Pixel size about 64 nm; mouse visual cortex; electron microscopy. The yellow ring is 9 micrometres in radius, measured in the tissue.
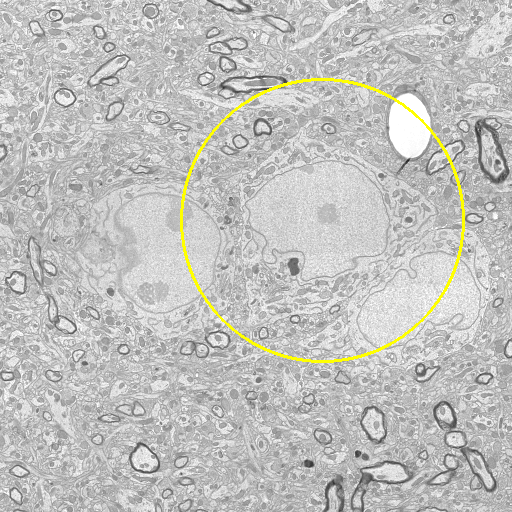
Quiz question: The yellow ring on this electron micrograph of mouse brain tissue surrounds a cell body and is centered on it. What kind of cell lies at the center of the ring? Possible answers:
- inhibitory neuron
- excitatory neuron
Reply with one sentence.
The ring's center lies on an inhibitory neuron.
